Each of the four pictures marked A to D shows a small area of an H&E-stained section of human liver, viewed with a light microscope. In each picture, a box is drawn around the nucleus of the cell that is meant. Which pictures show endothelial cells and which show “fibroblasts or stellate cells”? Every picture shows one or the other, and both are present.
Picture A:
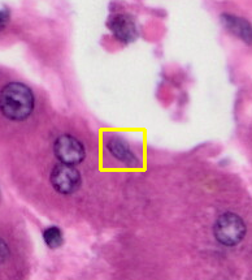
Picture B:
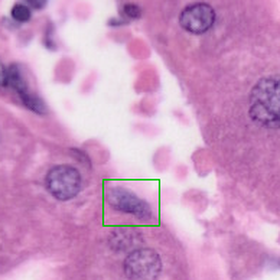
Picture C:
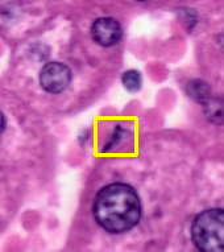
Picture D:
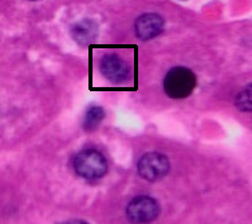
A: fibroblast or stellate cell
B: fibroblast or stellate cell
C: endothelial cell
D: fibroblast or stellate cell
